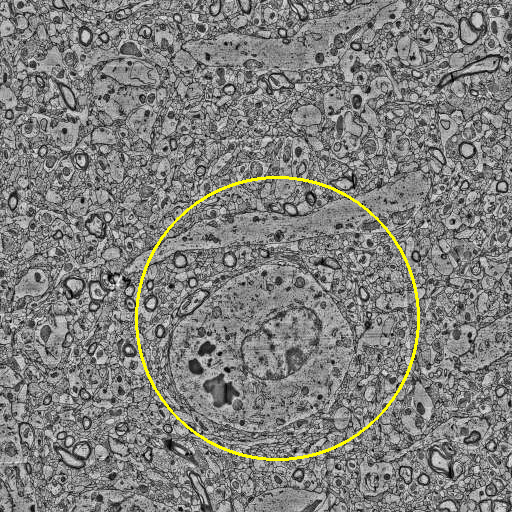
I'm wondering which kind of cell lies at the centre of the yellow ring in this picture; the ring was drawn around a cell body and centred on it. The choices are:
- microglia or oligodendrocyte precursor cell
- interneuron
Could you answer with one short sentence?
At the centre of the ring lies an interneuron.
